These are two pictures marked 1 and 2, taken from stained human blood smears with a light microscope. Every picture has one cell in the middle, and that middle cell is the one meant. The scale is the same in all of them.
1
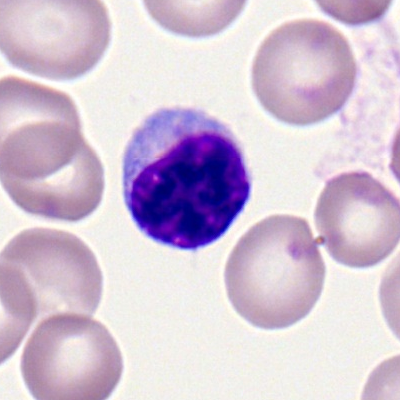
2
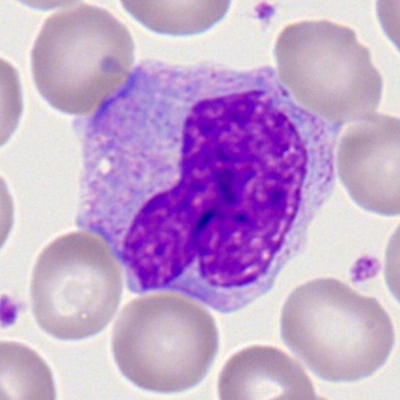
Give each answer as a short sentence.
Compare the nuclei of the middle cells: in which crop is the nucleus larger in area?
Larger is the nucleus in crop 2, at roughly 1.5 times the area of the other.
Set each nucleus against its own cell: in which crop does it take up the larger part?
Of the two, the nucleus in crop 1 makes up the greater part of its cell.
